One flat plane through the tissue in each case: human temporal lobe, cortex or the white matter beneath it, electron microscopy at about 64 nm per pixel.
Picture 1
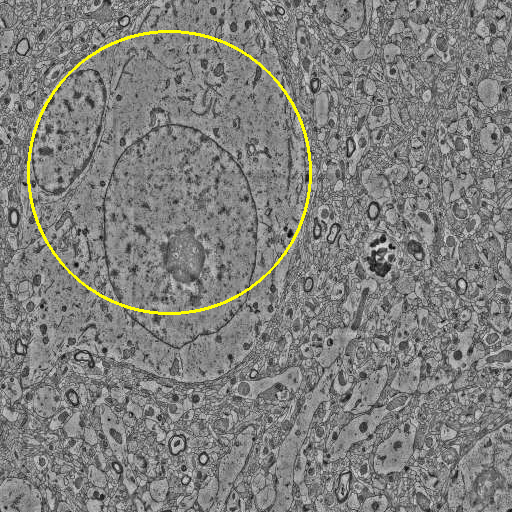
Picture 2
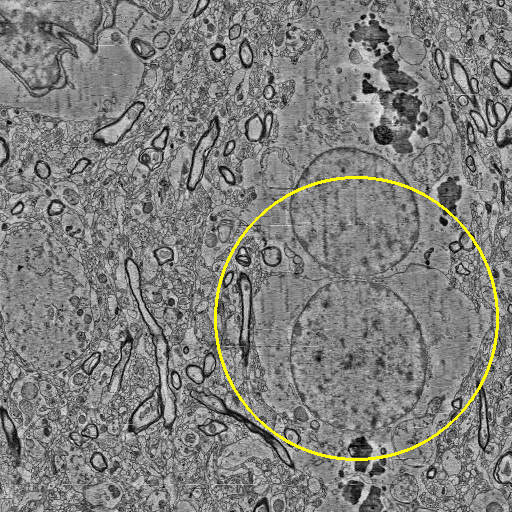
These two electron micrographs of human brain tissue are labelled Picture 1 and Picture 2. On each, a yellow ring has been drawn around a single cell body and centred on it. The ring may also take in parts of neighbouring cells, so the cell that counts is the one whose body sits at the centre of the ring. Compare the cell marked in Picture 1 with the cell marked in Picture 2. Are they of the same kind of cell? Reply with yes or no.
no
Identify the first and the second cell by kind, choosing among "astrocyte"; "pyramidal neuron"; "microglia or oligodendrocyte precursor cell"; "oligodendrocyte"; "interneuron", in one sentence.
The one in the first picture is a pyramidal neuron, while the one in the second is an astrocyte.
